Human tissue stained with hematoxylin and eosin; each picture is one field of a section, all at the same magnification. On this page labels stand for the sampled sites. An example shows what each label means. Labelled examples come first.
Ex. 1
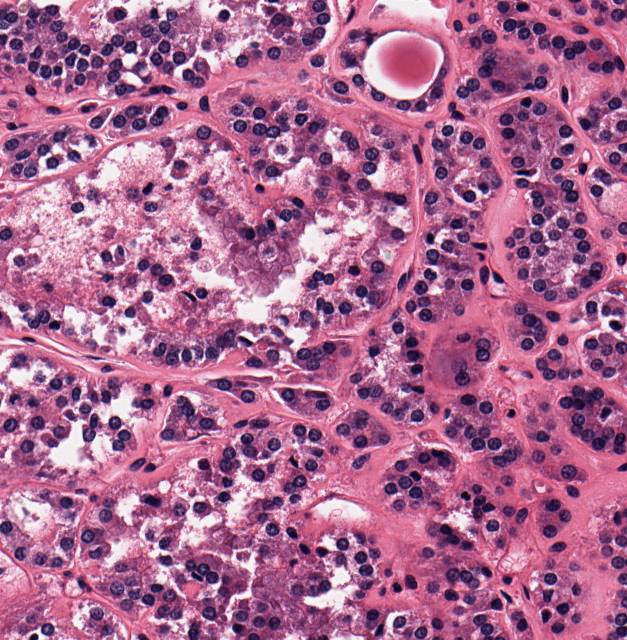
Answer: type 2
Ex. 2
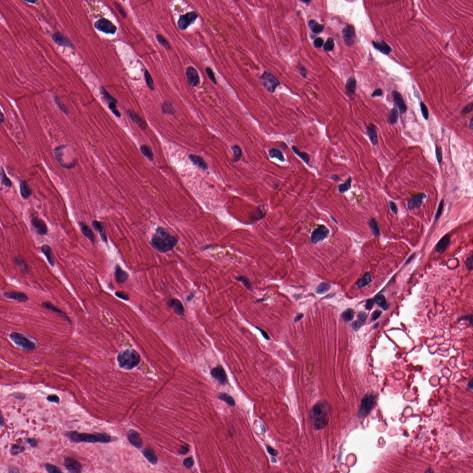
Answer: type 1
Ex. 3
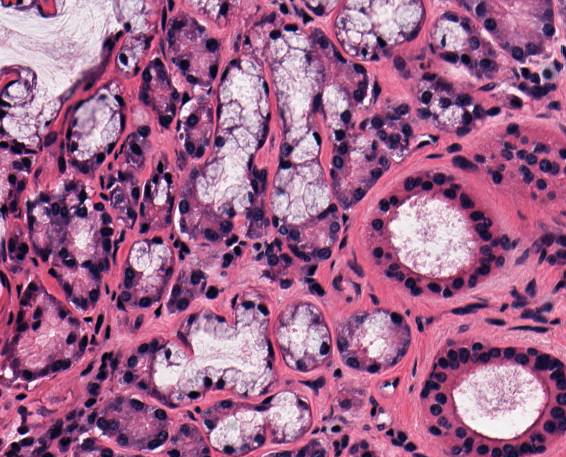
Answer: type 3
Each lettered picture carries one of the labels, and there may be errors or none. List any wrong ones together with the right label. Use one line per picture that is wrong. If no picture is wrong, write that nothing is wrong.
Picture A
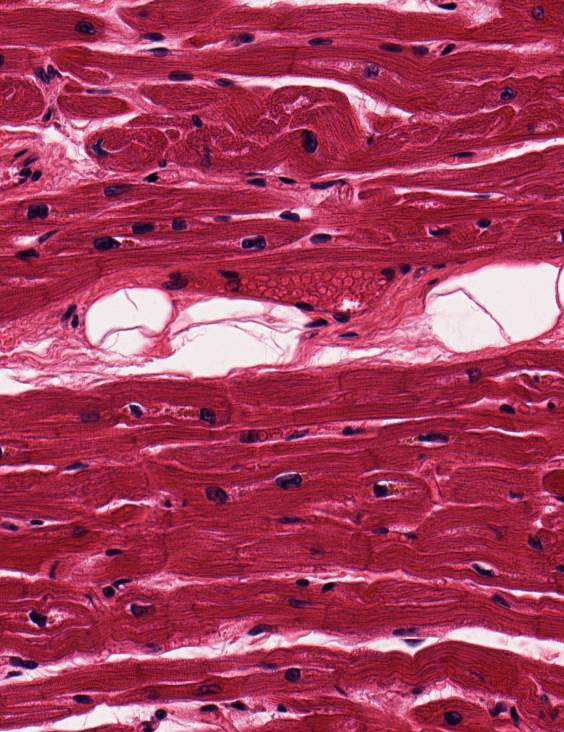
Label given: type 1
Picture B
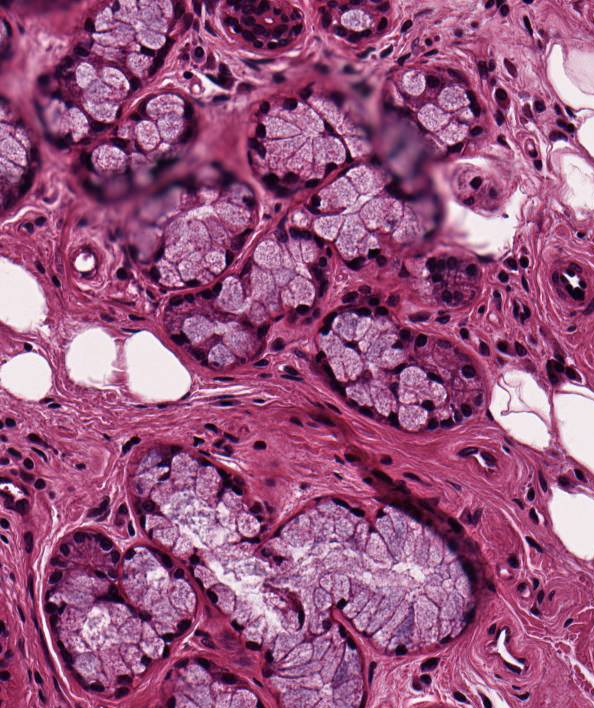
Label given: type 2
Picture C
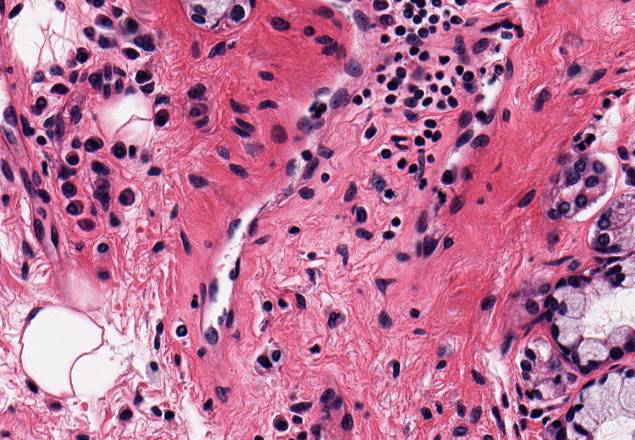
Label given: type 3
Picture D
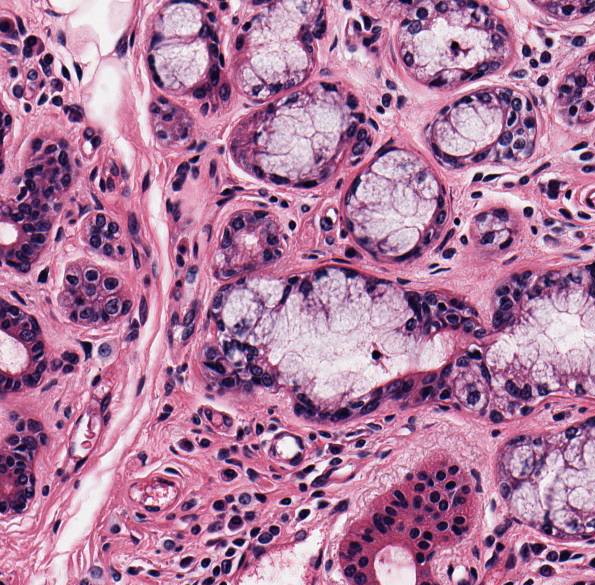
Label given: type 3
B should be type 3, not type 2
